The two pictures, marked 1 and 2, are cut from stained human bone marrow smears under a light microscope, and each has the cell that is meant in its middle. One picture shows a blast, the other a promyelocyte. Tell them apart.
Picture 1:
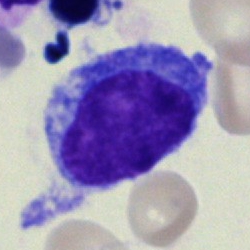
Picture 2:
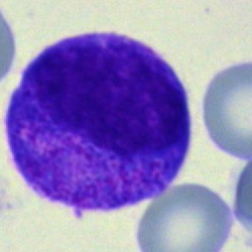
1: blast
2: promyelocyte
